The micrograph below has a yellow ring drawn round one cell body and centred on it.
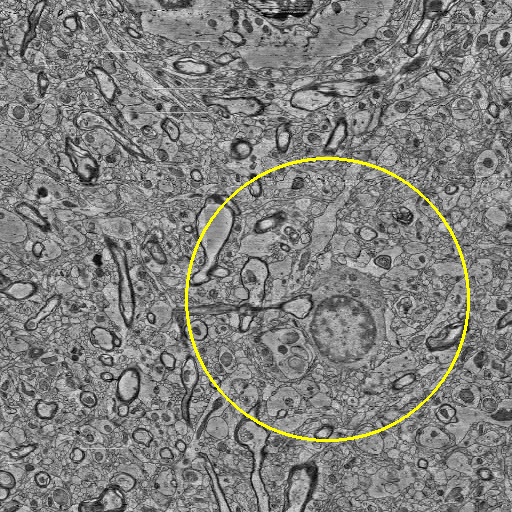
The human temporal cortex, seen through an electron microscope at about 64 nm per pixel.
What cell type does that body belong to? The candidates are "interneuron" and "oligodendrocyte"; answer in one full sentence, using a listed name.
This is an oligodendrocyte, the cell whose body lies at the centre of the ring.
